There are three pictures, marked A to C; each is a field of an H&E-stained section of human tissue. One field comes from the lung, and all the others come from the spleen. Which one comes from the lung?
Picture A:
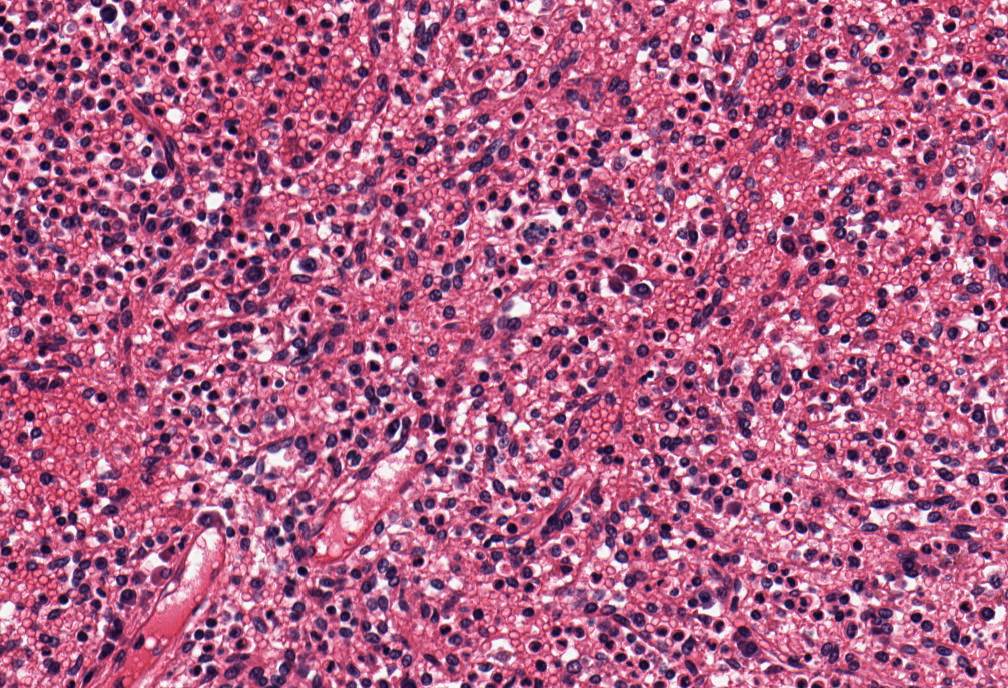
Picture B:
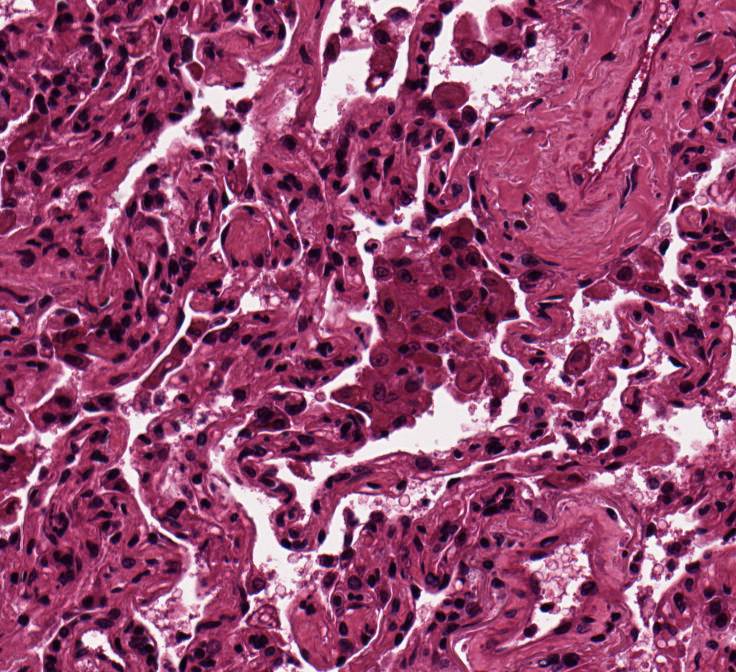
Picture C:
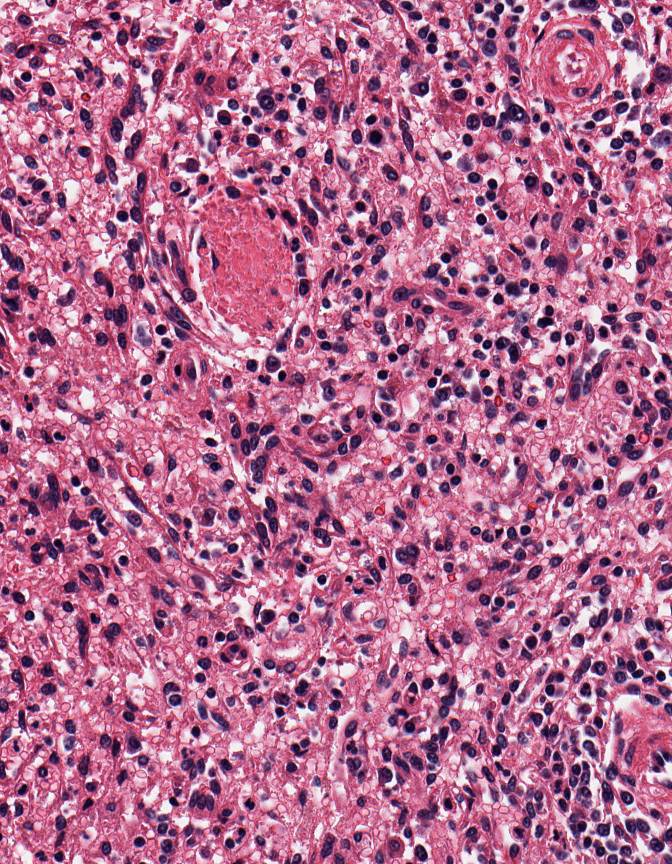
B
